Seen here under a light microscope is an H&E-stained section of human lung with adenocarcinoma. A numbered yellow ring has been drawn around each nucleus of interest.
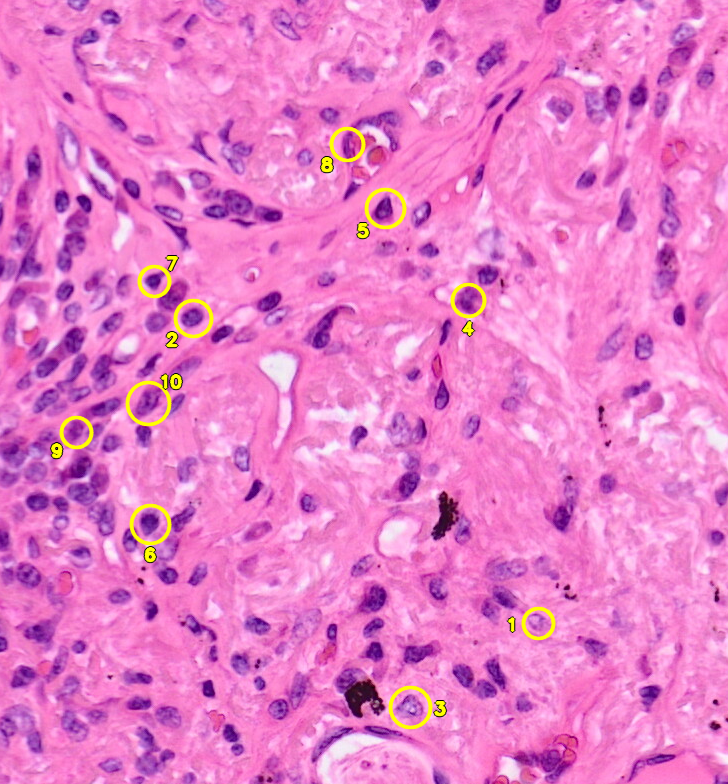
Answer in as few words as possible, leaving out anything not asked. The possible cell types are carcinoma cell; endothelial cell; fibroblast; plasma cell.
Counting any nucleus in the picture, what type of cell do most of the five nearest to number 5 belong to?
endothelial cell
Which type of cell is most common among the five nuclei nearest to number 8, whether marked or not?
endothelial cell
